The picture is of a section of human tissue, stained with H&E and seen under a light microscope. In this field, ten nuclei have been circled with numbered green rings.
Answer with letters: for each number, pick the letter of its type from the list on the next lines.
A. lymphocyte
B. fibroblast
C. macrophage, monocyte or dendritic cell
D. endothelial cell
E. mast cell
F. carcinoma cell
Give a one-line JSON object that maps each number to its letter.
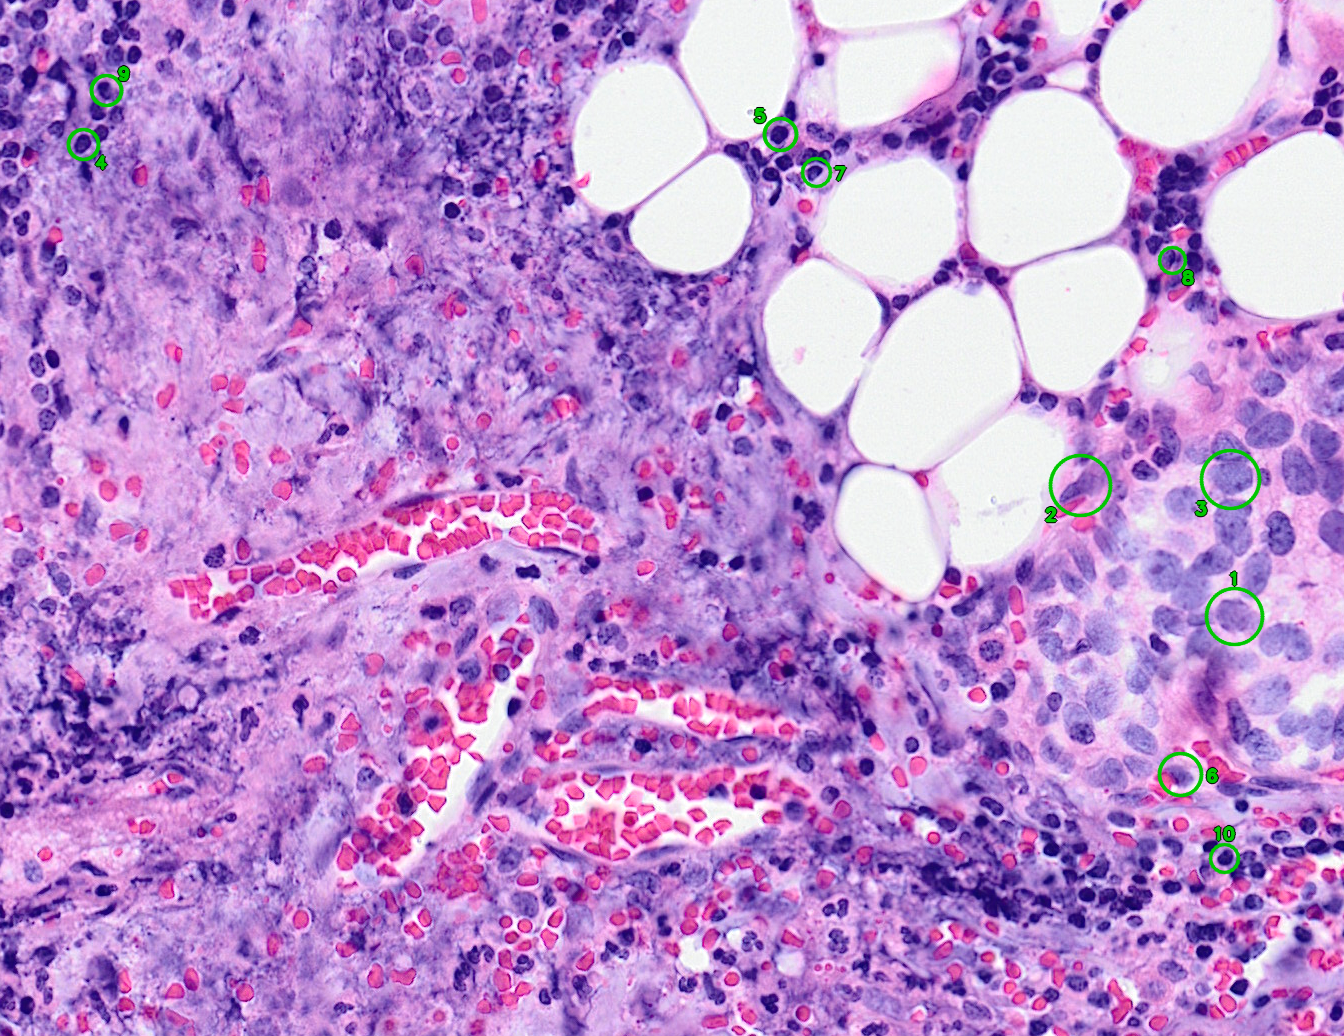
{"1": "F", "2": "D", "3": "F", "4": "A", "5": "A", "6": "D", "7": "A", "8": "A", "9": "A", "10": "A"}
